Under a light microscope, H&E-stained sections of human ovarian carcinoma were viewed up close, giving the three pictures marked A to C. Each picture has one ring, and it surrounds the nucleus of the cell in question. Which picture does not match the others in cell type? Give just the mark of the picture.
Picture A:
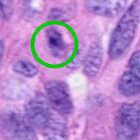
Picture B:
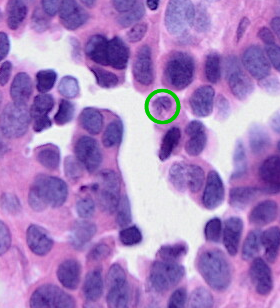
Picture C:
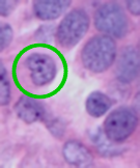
A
